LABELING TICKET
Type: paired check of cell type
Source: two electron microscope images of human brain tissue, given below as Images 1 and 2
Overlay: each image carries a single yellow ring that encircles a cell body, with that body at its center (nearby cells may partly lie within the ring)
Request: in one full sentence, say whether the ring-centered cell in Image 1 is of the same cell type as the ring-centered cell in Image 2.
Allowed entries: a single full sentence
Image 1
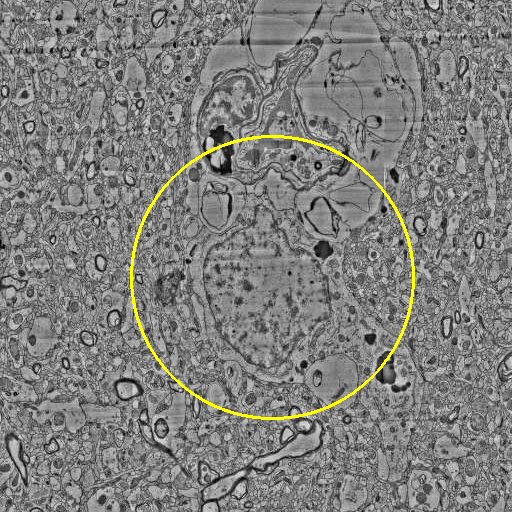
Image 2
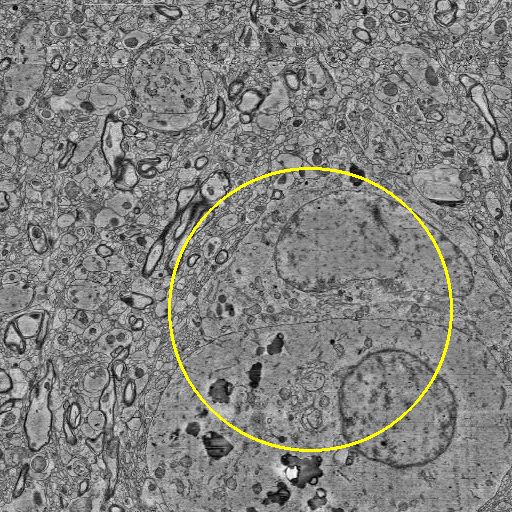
Yes, the cells centered in the rings of Image 1 and Image 2 share one type.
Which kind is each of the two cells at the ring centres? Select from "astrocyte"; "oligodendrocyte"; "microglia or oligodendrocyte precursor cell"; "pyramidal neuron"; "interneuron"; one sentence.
The cell at the ring centre is an interneuron in both pictures.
